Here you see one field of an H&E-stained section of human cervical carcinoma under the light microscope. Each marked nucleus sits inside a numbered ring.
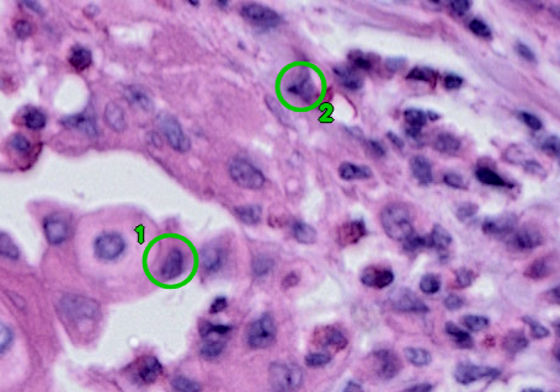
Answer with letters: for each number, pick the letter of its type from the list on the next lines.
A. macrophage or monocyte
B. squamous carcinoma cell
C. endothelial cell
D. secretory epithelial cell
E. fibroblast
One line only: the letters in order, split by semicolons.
B; C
